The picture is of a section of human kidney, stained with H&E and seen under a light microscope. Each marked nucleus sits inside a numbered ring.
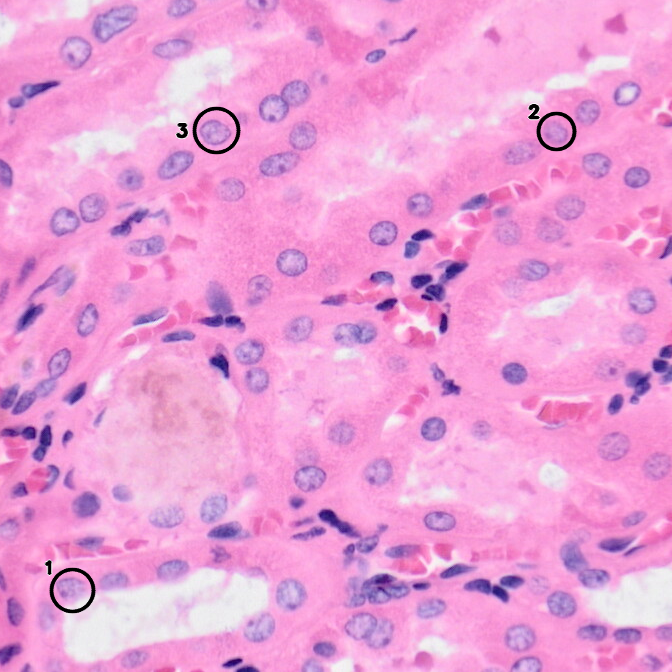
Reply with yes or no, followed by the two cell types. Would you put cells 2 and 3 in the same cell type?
Yes, the pair formed by cells 2 and 3 consists of two proximal tubule cells.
